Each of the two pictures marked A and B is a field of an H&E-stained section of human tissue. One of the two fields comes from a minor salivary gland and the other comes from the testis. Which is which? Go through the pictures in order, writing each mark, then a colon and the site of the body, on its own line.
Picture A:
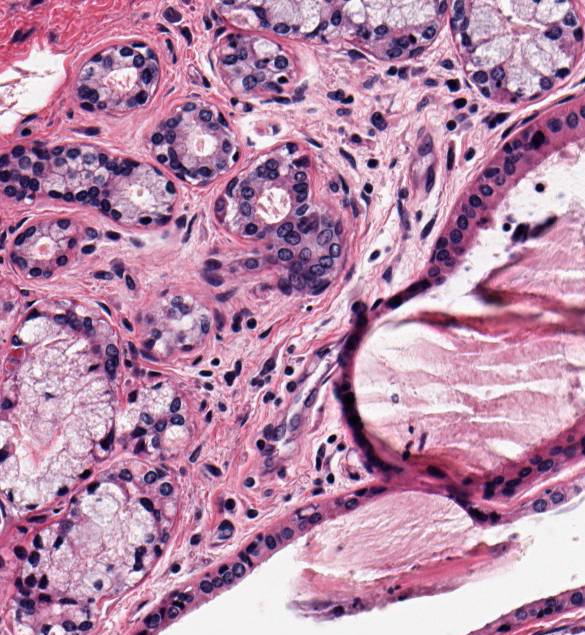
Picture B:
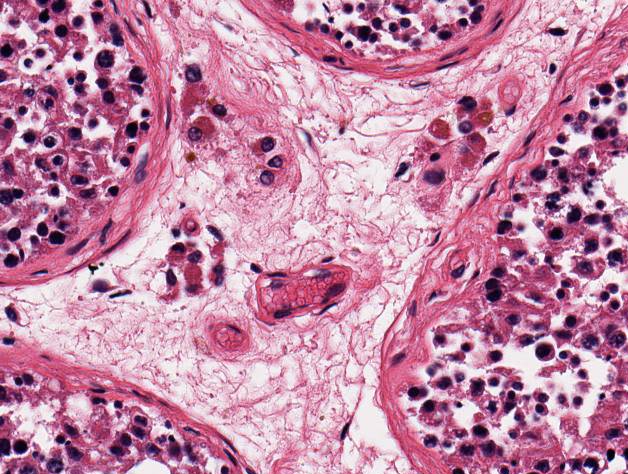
A: minor salivary gland
B: testis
